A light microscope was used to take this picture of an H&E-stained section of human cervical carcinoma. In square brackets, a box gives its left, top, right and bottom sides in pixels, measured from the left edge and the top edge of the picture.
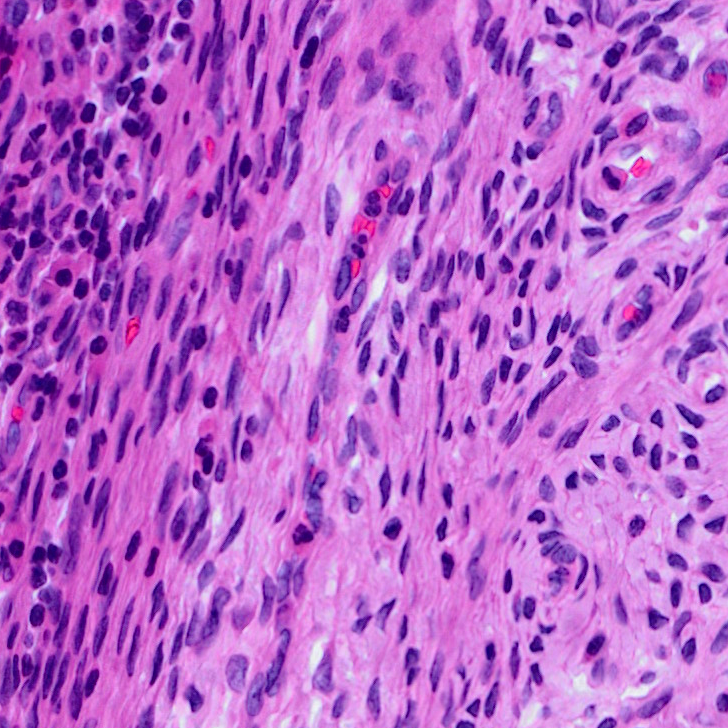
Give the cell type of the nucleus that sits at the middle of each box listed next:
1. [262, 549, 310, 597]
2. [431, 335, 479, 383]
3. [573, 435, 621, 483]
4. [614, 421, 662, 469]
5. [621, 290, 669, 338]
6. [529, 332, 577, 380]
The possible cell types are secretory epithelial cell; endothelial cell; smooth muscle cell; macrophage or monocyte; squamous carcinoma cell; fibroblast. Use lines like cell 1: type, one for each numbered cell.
cell 1: endothelial cell
cell 2: fibroblast
cell 3: fibroblast
cell 4: fibroblast
cell 5: endothelial cell
cell 6: fibroblast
